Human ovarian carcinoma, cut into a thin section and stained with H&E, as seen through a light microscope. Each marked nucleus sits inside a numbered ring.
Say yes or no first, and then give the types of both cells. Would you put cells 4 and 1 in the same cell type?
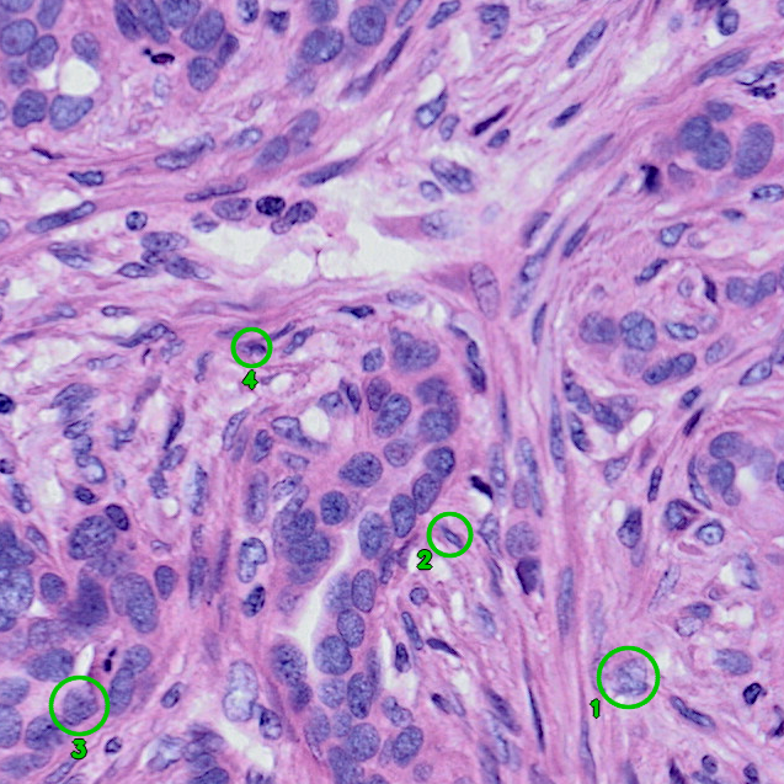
Yes, in terms of cell type, cells 4 and 1 are both fibroblasts.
